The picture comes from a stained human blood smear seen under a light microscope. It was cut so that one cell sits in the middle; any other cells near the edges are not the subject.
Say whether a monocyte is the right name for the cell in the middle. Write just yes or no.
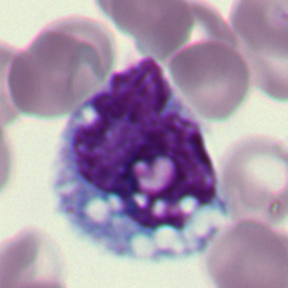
yes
